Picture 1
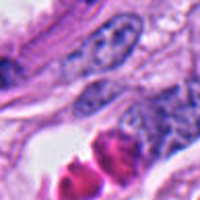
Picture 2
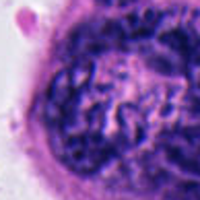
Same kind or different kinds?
Different: the first is a cytotrophoblast, the second a syncytial knot.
